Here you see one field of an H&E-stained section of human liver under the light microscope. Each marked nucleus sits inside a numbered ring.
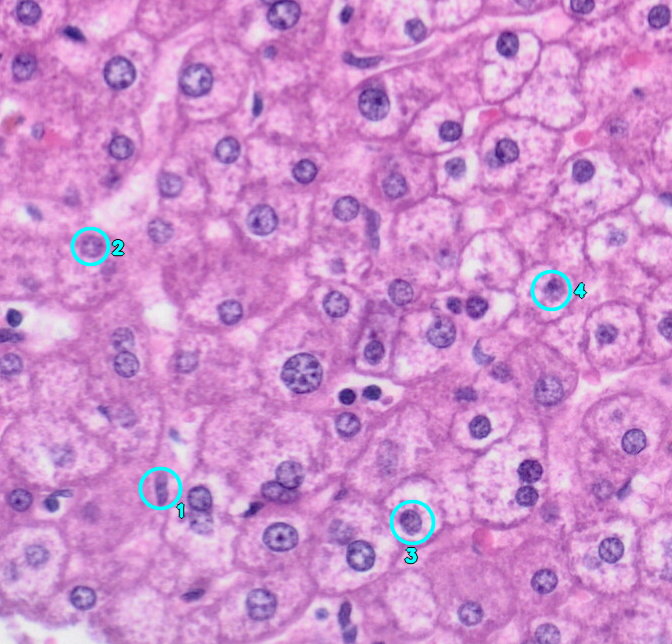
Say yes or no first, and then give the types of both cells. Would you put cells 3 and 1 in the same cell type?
No, cell 3 is a hepatocyte and cell 1 is a Kupffer cell.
